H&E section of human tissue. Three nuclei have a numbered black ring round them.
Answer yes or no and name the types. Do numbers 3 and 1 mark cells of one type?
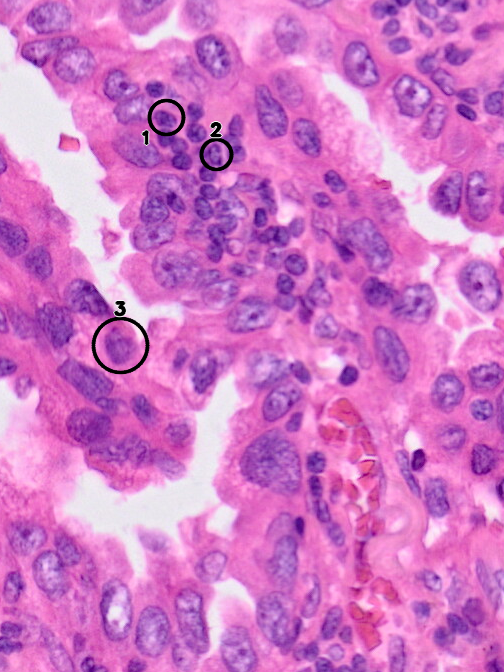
No, cell 3 is a carcinoma cell and cell 1 is a lymphocyte.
